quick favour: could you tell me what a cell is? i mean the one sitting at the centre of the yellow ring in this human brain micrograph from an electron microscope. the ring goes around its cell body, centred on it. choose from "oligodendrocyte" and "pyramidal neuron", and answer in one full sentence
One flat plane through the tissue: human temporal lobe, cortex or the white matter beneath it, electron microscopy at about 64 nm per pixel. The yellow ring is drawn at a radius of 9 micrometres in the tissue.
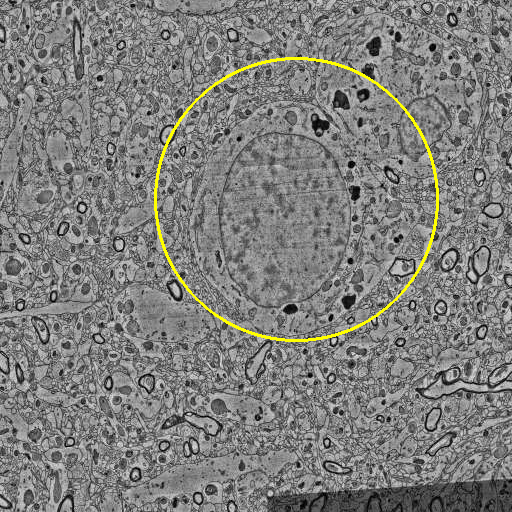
That's a pyramidal neuron, the cell sitting at the centre of the yellow ring.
